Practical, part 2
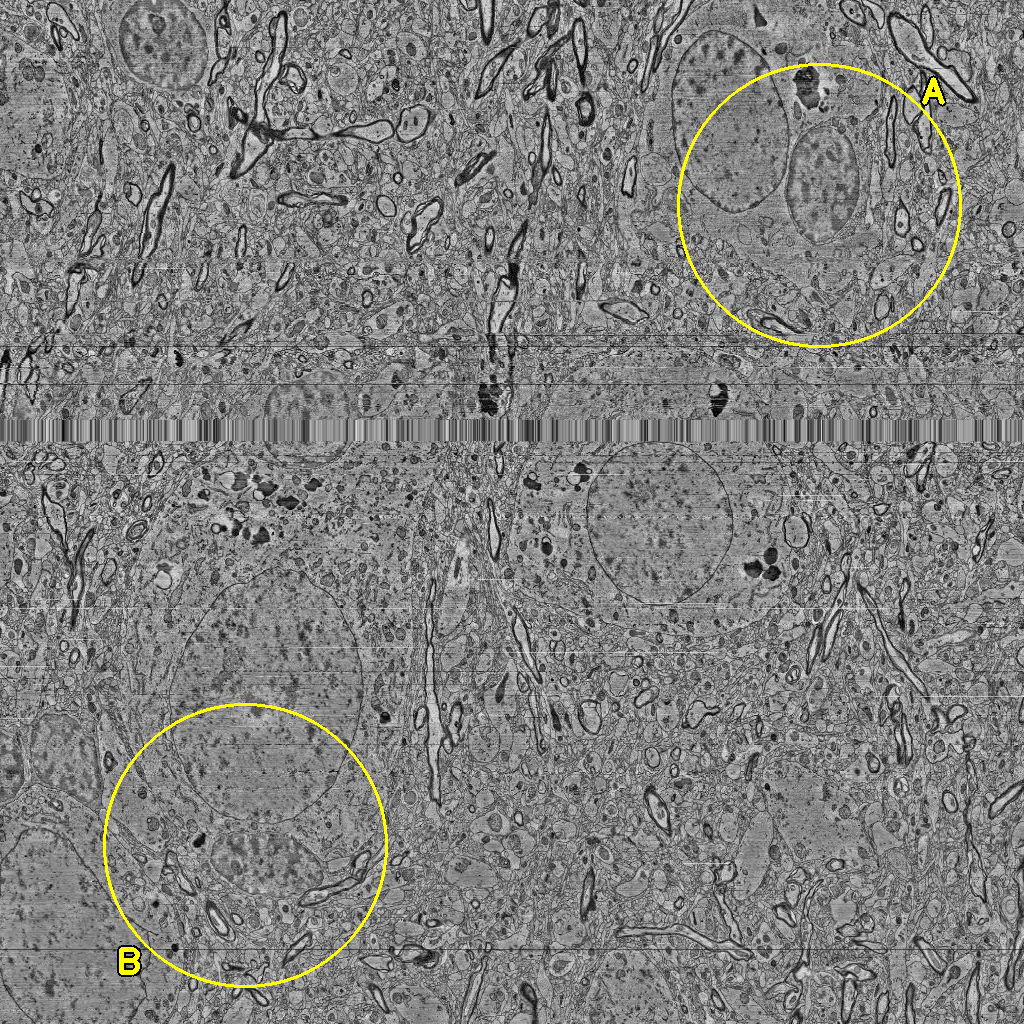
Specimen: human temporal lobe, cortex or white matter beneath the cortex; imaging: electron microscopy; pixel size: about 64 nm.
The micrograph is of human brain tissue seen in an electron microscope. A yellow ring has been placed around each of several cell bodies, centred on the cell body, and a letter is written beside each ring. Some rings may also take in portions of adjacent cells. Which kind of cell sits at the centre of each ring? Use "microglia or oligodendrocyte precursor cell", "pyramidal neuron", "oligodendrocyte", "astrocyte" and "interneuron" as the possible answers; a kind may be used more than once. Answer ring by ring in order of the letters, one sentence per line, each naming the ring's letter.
Ring A sits on an oligodendrocyte.
Ring B sits on an oligodendrocyte.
